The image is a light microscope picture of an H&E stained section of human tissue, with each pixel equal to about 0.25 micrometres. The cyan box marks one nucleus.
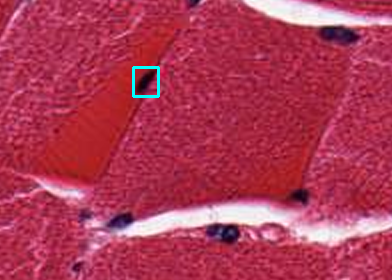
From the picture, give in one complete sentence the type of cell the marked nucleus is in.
What the marked nucleus belongs to is a skeletal muscle fibre.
